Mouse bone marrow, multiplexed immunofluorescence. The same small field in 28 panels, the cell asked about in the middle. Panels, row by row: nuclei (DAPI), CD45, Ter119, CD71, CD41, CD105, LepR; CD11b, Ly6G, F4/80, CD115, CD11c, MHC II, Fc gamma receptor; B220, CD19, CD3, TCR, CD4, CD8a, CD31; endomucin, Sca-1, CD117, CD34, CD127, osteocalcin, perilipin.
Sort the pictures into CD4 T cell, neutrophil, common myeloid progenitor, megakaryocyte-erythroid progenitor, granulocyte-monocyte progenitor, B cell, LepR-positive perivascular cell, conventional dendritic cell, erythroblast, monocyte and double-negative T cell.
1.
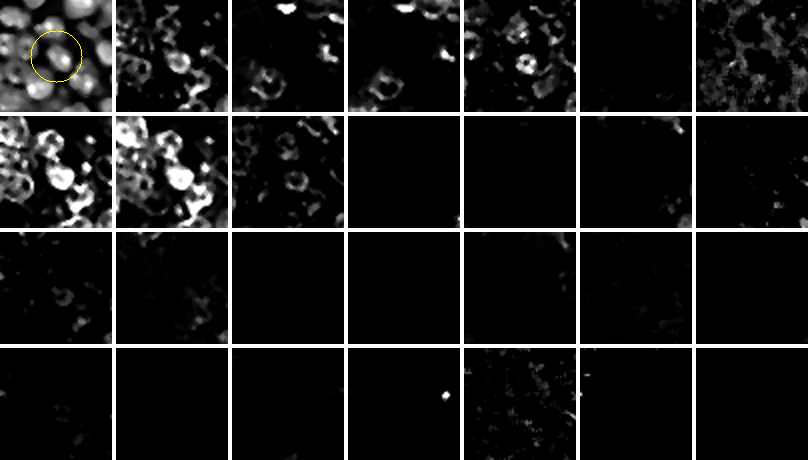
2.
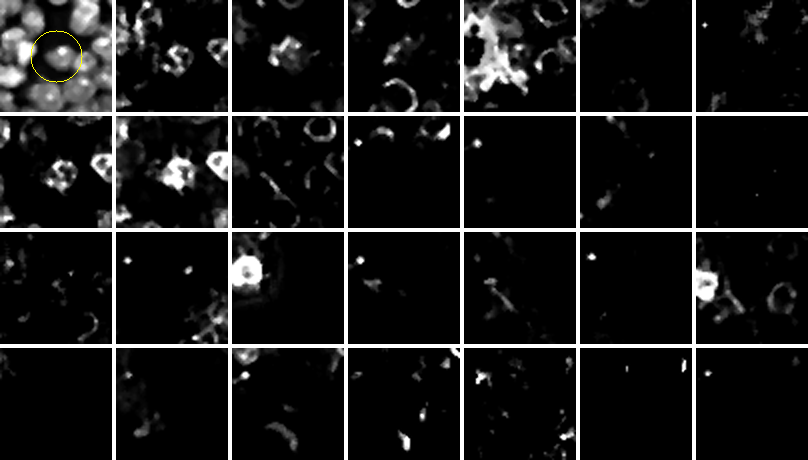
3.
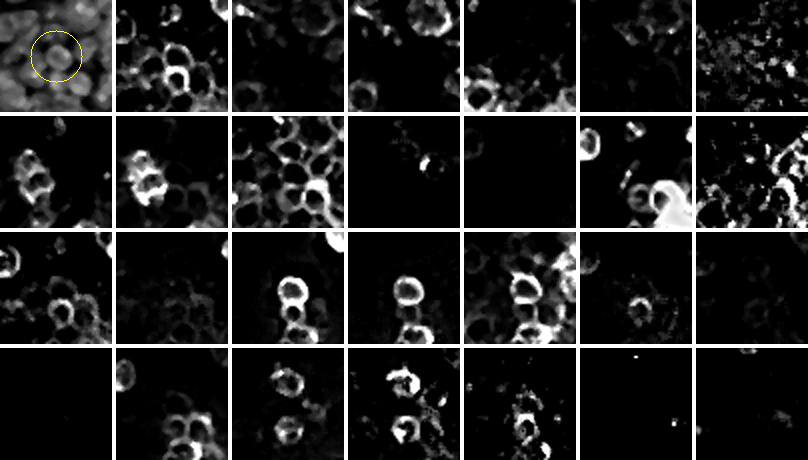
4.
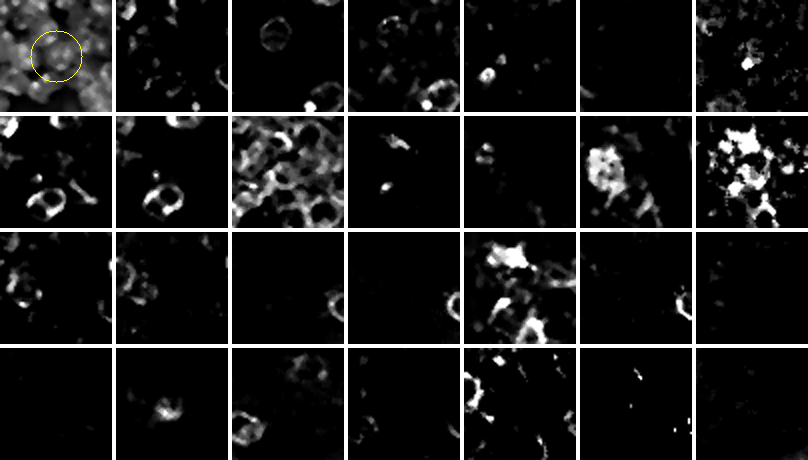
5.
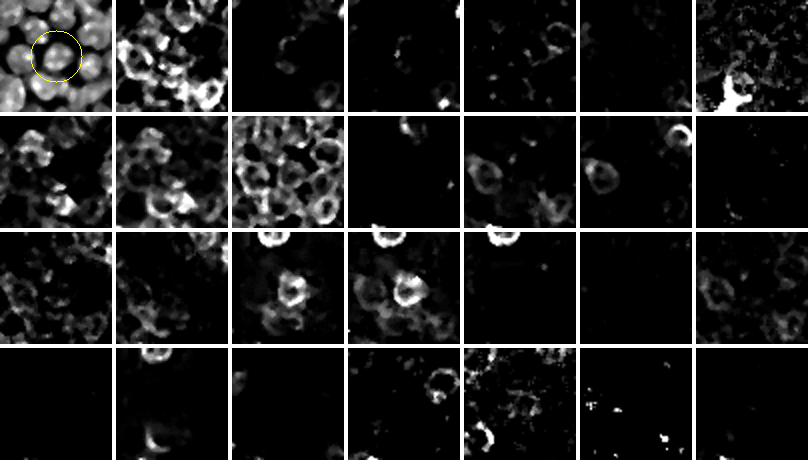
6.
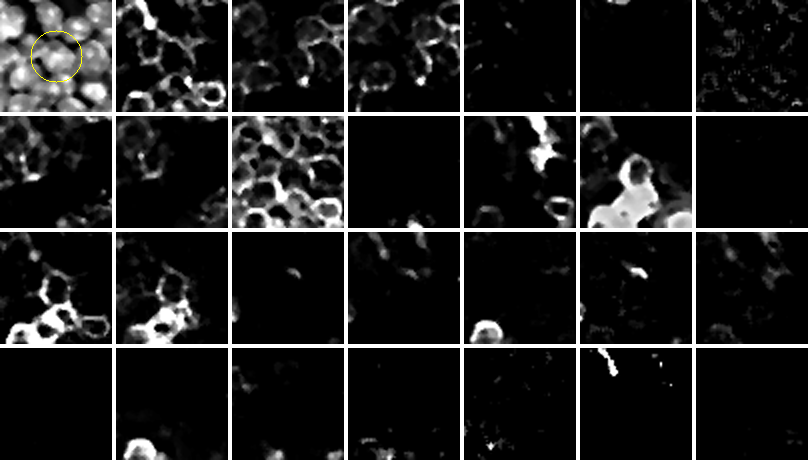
Neutrophils: 1, 2
CD4 T cells: 3
LepR-positive perivascular cells: 4
Double-negative T cells: 5
B cells: 6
